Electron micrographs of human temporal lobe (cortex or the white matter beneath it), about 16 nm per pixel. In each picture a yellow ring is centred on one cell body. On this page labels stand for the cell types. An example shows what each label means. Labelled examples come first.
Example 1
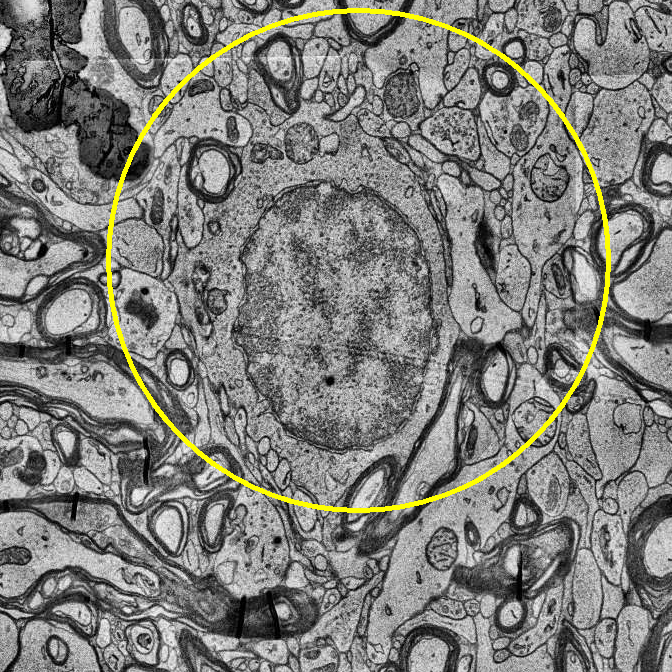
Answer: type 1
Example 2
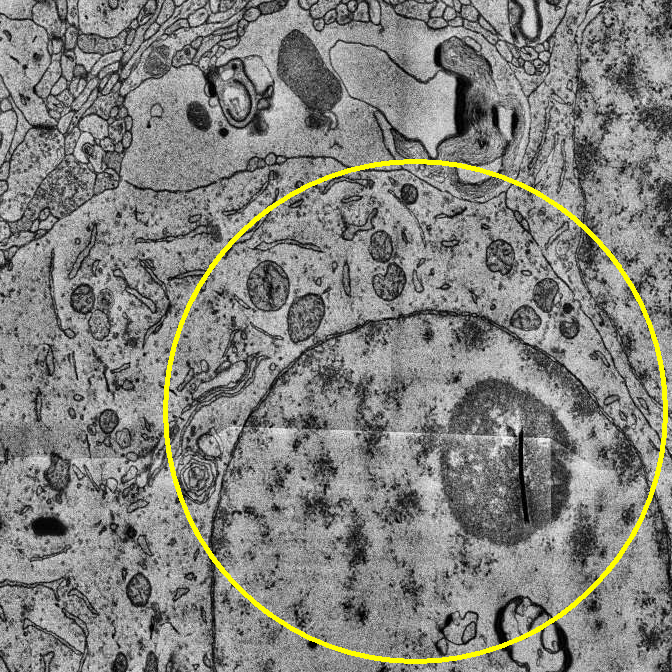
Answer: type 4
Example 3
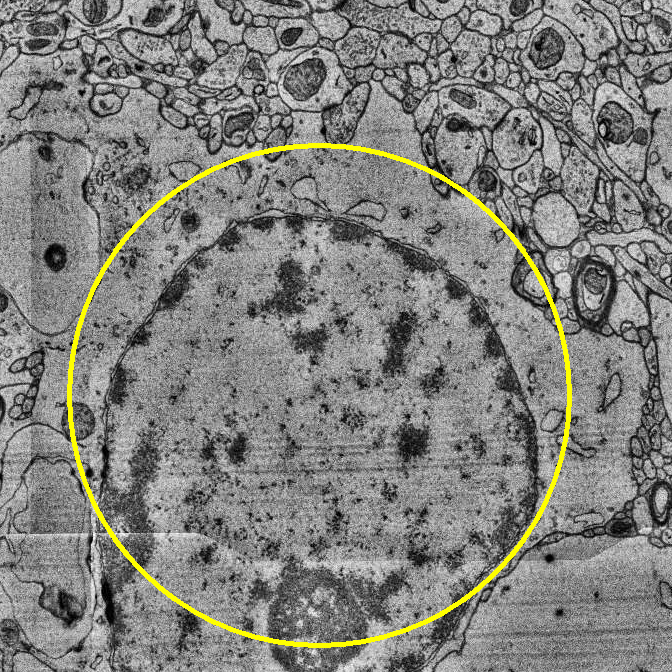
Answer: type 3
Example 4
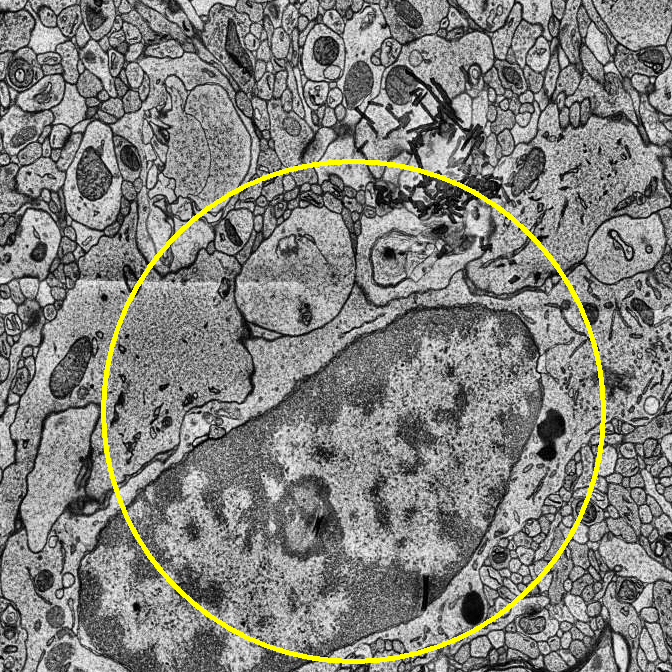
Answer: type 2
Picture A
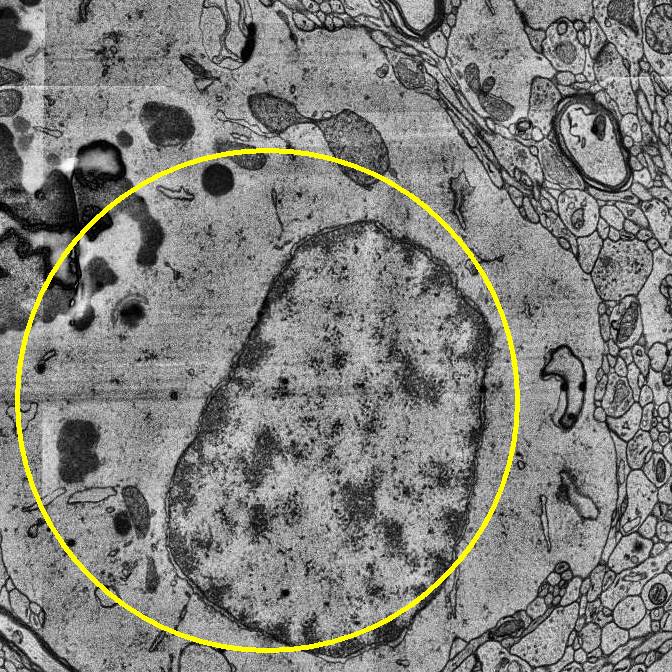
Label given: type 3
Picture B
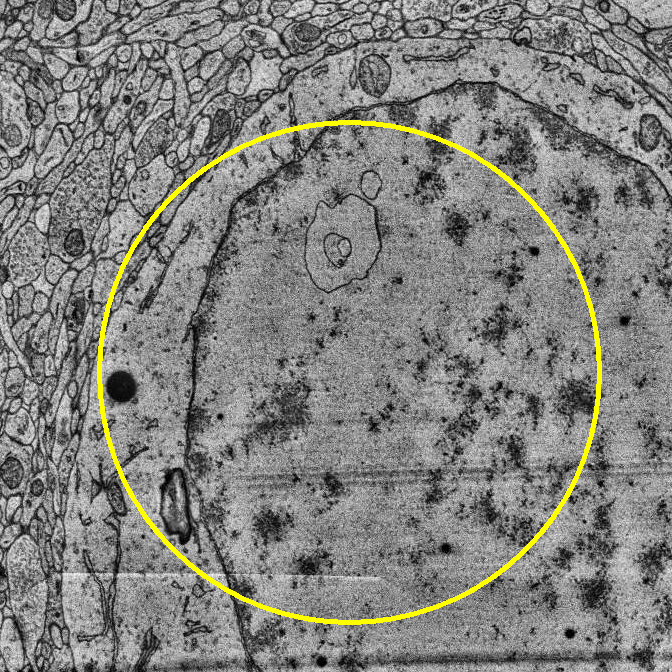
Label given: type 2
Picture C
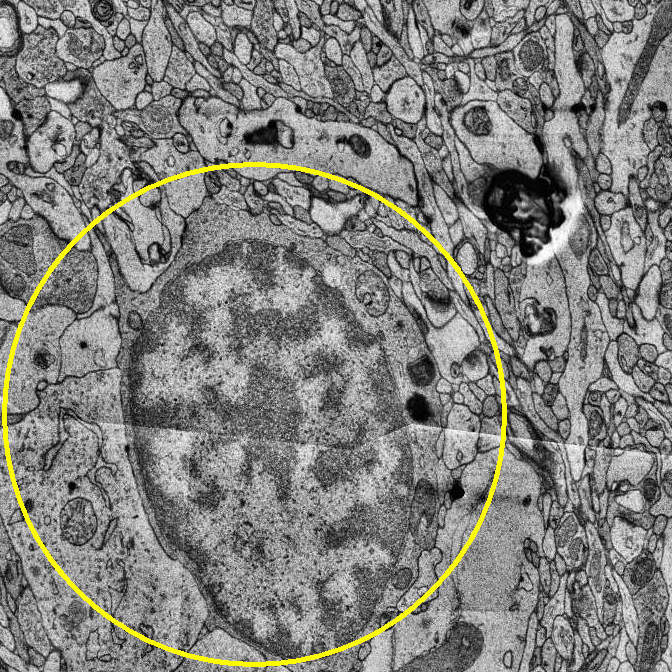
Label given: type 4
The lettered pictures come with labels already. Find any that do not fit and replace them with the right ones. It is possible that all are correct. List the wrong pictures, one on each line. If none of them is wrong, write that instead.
B: type 4, not type 2
C: type 1, not type 4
